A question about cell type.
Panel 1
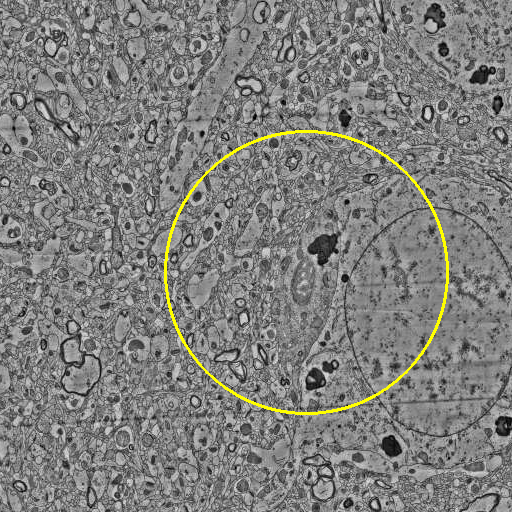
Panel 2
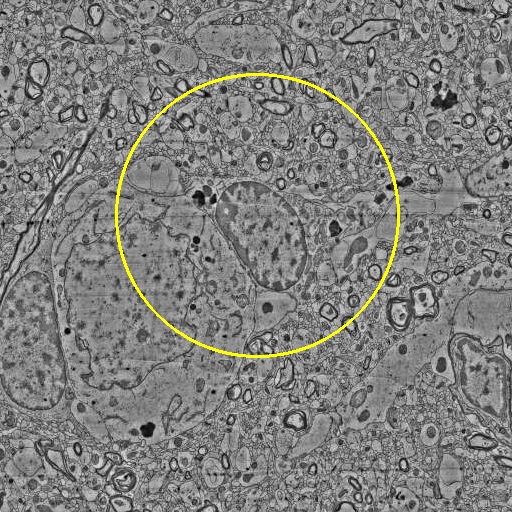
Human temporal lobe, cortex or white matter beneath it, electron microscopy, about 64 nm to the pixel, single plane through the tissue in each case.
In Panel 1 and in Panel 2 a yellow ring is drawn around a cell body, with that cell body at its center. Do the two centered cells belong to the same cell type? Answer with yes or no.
no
